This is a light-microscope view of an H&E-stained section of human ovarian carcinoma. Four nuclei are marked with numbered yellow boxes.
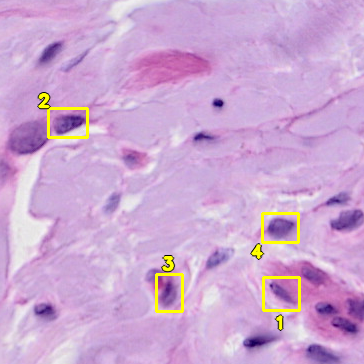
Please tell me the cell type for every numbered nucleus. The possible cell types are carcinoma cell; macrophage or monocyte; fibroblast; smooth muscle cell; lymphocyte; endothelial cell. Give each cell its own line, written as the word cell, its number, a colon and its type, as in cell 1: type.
cell 1: smooth muscle cell
cell 2: endothelial cell
cell 3: endothelial cell
cell 4: fibroblast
